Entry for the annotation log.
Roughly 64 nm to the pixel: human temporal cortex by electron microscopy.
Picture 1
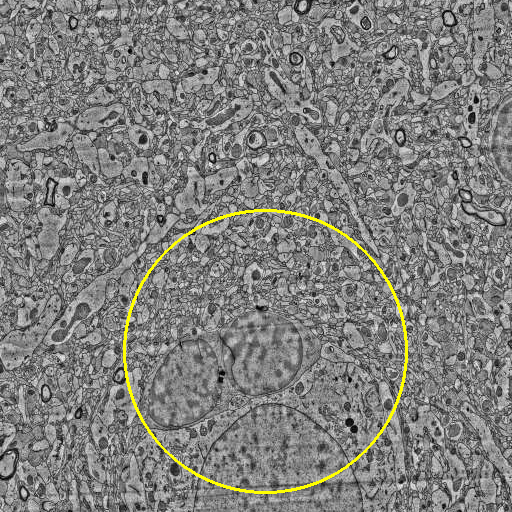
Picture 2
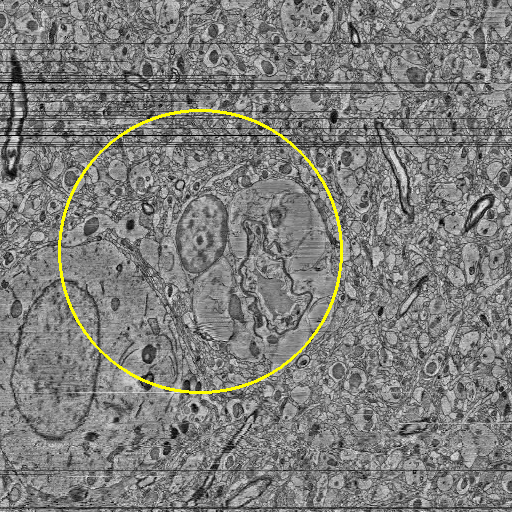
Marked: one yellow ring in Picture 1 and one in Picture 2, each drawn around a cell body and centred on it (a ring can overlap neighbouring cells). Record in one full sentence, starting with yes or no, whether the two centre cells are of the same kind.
No, the two cells are of two kinds.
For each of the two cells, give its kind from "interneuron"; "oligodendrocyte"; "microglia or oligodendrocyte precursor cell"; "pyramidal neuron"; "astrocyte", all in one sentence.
The first picture has an oligodendrocyte in its ring, the second has a microglial cell or oligodendrocyte precursor cell.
